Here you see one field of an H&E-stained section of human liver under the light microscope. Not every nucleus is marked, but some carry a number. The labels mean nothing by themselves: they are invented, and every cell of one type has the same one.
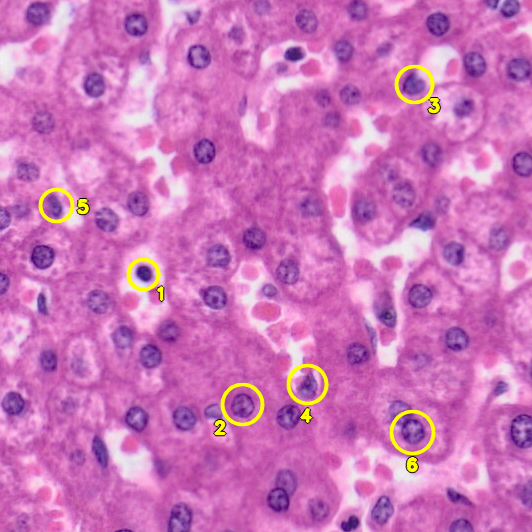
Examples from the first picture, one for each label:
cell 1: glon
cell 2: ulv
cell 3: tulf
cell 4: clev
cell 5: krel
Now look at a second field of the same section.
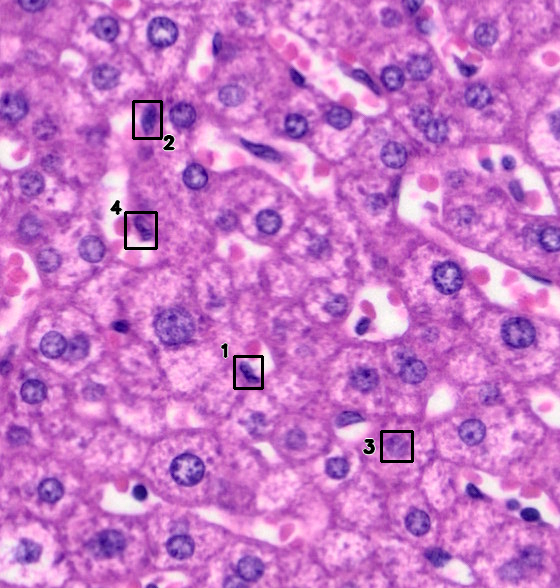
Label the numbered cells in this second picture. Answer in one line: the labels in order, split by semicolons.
clev; tulf; ulv; krel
